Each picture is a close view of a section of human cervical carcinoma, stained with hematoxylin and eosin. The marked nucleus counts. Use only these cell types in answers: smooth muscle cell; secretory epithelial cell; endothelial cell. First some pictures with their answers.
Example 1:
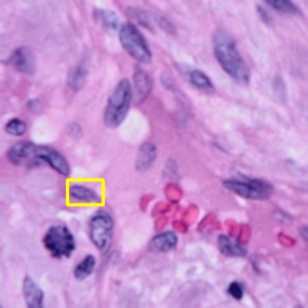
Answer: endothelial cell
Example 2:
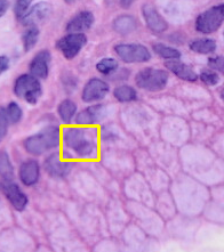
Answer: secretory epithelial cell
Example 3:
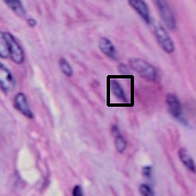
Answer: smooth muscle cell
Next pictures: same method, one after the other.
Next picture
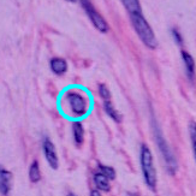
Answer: smooth muscle cell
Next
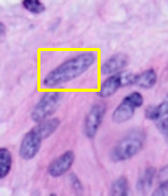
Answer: smooth muscle cell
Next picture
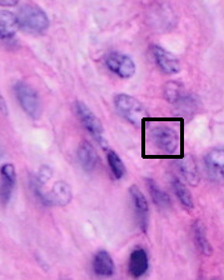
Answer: endothelial cell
